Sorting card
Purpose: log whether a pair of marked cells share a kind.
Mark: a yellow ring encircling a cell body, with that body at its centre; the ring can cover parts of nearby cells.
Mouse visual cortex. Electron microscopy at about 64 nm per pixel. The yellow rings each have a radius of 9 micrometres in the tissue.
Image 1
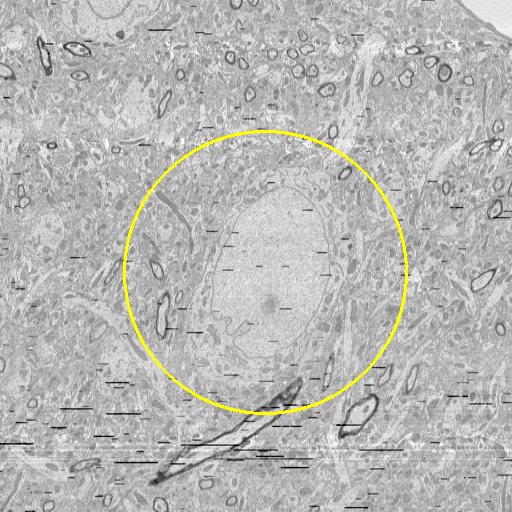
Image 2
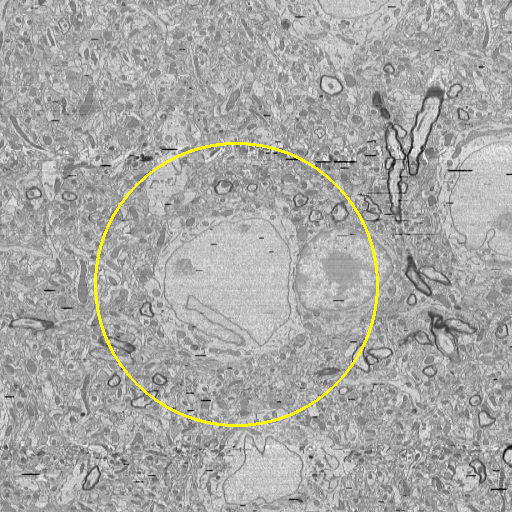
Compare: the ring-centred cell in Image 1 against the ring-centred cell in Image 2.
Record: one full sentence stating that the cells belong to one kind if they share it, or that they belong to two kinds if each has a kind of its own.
Across Images 1 and 2, the two ring-centred cells belong to one kind.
